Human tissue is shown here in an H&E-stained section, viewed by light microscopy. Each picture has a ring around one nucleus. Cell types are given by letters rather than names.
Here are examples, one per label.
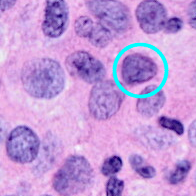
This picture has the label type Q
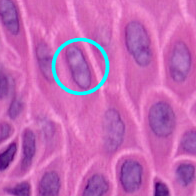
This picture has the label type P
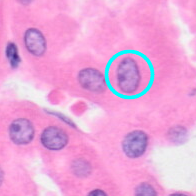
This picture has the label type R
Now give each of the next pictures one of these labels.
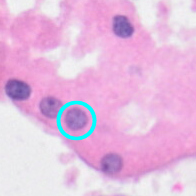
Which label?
type R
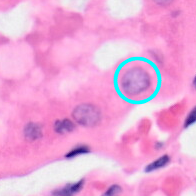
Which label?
type R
